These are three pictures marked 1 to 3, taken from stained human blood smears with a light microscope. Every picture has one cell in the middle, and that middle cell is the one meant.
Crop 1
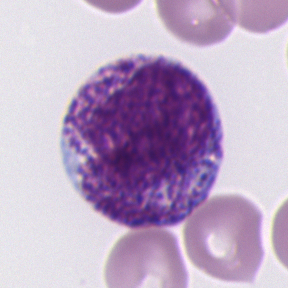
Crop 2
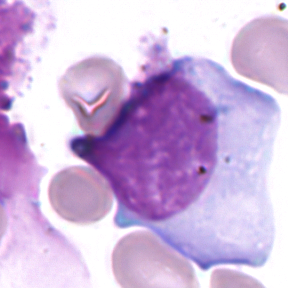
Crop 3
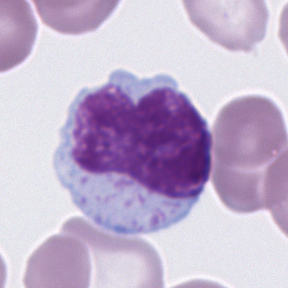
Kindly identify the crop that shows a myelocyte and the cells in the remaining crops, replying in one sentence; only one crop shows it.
Crop 1 is a myelocyte; as for the rest, crop 2 is a plasma cell and crop 3 is a large granular lymphocyte.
